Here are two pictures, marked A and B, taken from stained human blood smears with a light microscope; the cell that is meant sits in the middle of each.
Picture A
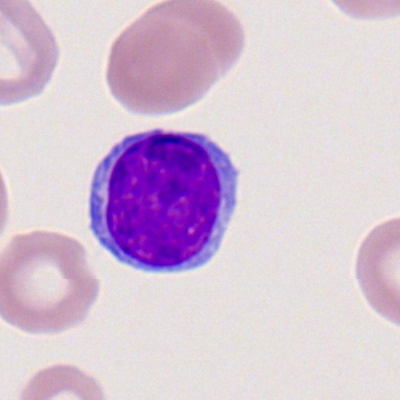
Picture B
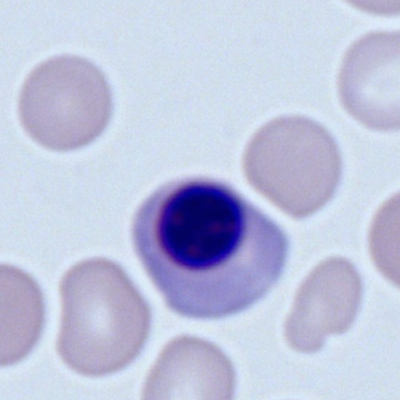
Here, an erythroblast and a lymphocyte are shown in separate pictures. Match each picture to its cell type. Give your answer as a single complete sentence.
It is picture A that shows a lymphocyte, and picture B that shows an erythroblast.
